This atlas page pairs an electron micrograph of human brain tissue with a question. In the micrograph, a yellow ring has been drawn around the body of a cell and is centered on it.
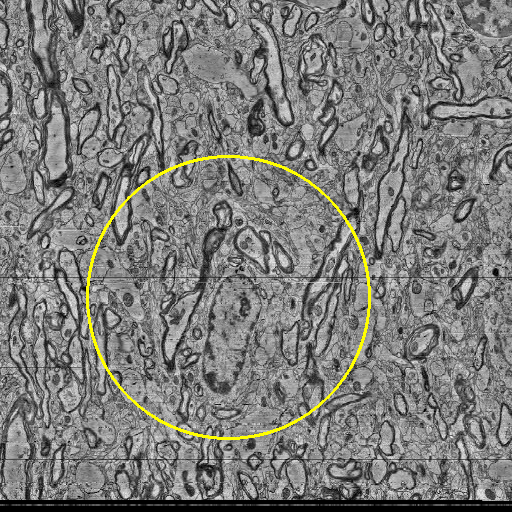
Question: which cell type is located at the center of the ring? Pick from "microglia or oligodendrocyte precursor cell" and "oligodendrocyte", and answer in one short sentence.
Located at the center of the ring is a microglial cell or oligodendrocyte precursor cell.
